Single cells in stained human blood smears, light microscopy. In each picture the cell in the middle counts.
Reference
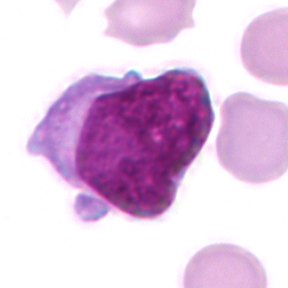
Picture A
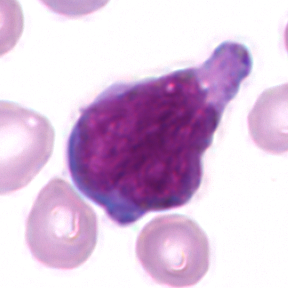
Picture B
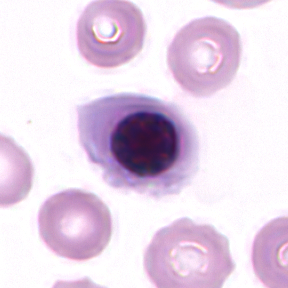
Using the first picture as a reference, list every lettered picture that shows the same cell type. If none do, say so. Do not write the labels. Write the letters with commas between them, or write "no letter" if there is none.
A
